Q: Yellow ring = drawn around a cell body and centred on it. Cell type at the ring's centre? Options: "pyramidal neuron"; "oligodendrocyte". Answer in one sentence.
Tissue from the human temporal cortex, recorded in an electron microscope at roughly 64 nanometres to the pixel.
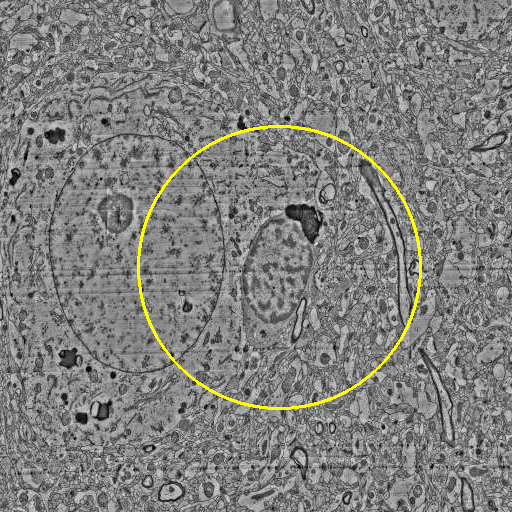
Centred in the ring is an oligodendrocyte.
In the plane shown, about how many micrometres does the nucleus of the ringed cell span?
In this plane, the nucleus is roughly 6 by 4 micrometres.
